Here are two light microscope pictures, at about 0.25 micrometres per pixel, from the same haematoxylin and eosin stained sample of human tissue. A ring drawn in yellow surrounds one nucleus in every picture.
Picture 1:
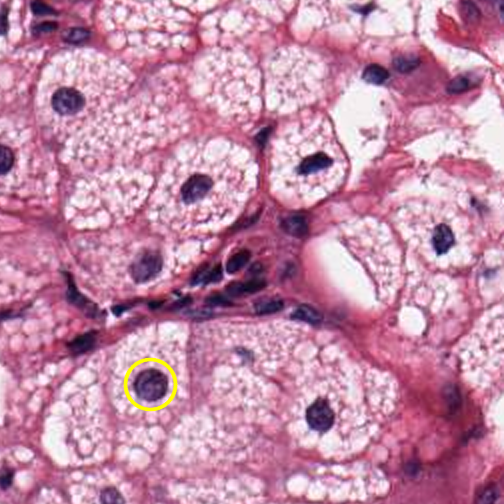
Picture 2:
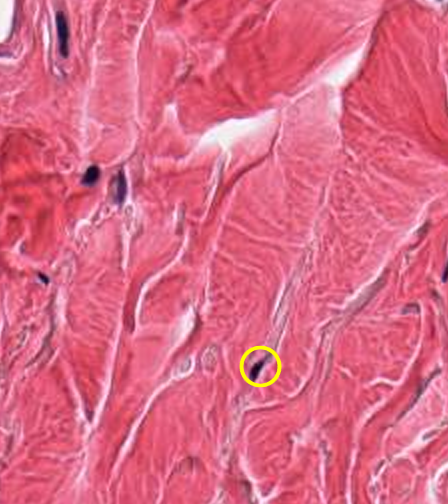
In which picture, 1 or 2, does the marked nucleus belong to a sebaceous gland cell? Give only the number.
1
